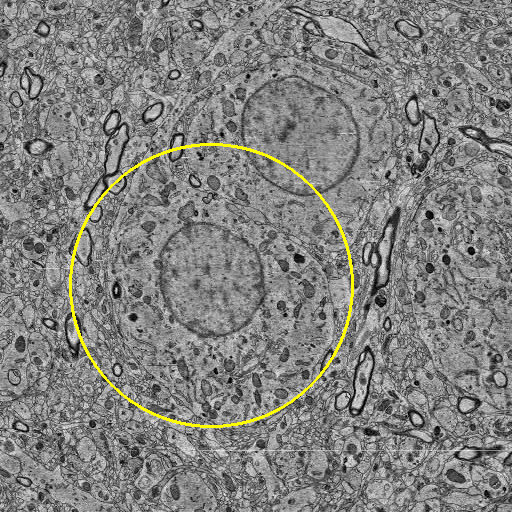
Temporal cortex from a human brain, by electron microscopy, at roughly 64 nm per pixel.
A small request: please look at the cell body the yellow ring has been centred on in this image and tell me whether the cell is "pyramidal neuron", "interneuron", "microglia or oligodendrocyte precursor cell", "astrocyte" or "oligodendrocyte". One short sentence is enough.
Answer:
The cell marked by the ring is an interneuron.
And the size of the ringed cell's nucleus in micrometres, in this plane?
Roughly 8 by 7 micrometres in this plane, for the nucleus of the ringed cell.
